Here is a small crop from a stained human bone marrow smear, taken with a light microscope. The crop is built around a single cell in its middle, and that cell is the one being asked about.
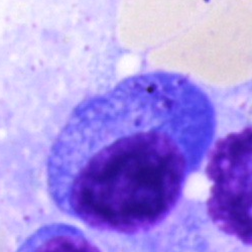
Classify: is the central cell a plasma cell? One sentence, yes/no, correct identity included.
Yes, the central cell is to be recorded as a plasma cell.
